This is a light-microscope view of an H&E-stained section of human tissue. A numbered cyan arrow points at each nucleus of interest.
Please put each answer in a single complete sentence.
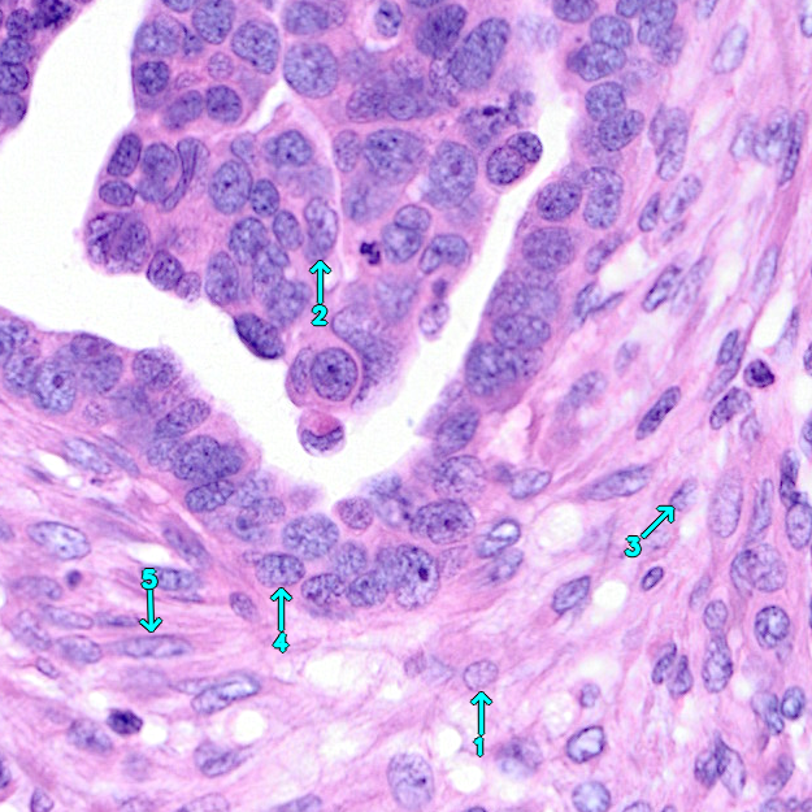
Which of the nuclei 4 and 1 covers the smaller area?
Nucleus 1 covers less area, with nucleus 4 about 1.5 times as large.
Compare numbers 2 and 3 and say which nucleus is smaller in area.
Number 3 is smaller, since number 2 takes up about 2 times as much area.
